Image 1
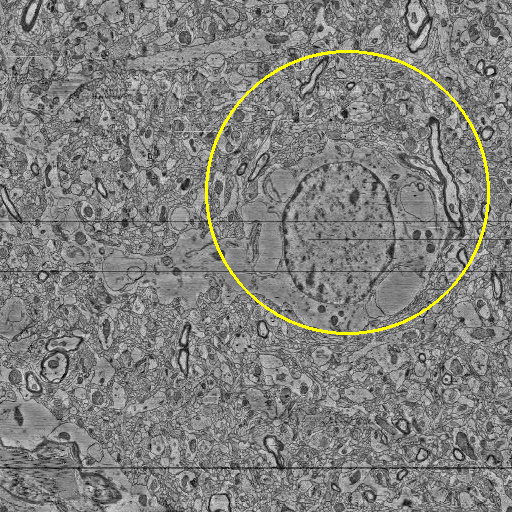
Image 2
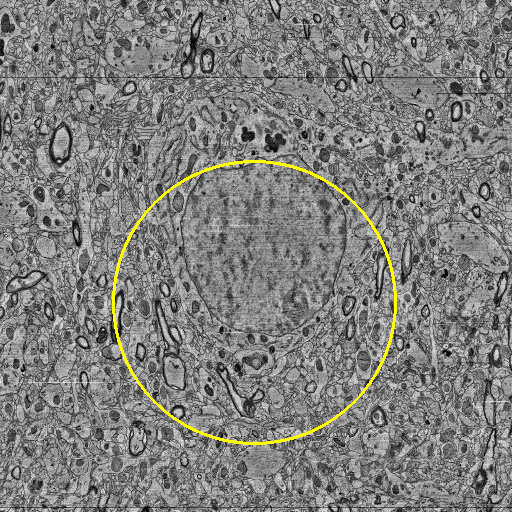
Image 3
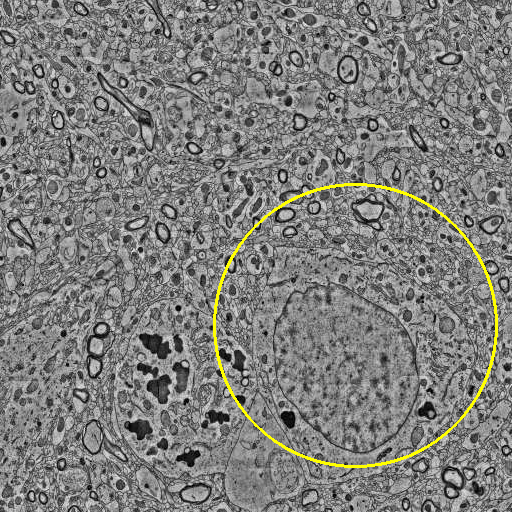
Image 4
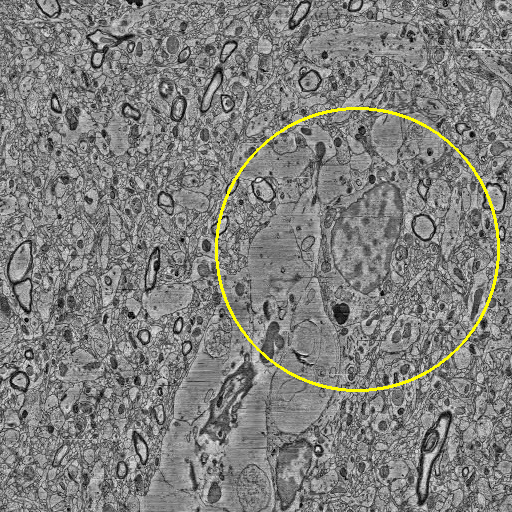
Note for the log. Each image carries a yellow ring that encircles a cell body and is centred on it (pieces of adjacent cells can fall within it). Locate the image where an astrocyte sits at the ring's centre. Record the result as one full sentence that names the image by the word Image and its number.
Image 1 has the wanted cell sitting at the centre of its ring.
